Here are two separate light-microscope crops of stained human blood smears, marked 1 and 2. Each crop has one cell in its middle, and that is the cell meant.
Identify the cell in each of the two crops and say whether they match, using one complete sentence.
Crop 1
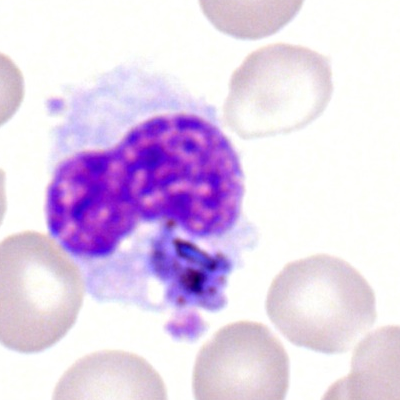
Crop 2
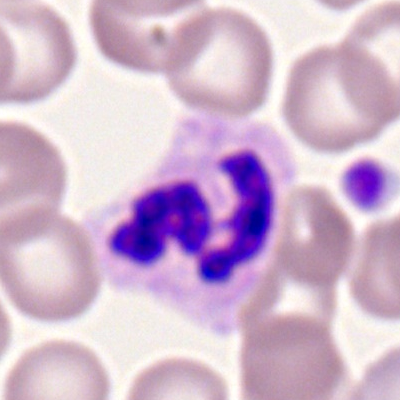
No, a monocyte is in crop 1, while a segmented neutrophil is in crop 2.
